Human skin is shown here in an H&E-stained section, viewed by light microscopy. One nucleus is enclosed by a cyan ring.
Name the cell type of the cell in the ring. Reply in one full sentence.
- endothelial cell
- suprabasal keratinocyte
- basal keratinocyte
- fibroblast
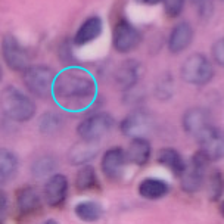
The category to which the cell in the ring belongs is that of a basal keratinocyte.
